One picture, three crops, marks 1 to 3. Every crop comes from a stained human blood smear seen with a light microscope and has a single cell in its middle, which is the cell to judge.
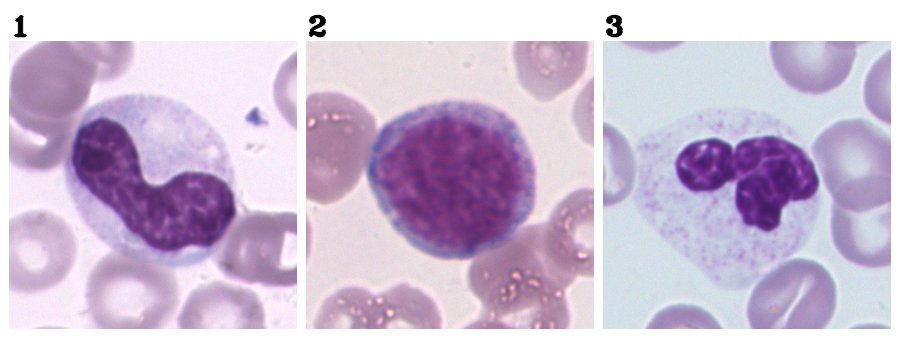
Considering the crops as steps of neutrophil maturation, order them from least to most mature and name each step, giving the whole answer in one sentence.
Maturity rises in the sequence crop 2 (a promyelocyte), crop 1 (a band neutrophil) and crop 3 (a segmented neutrophil).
